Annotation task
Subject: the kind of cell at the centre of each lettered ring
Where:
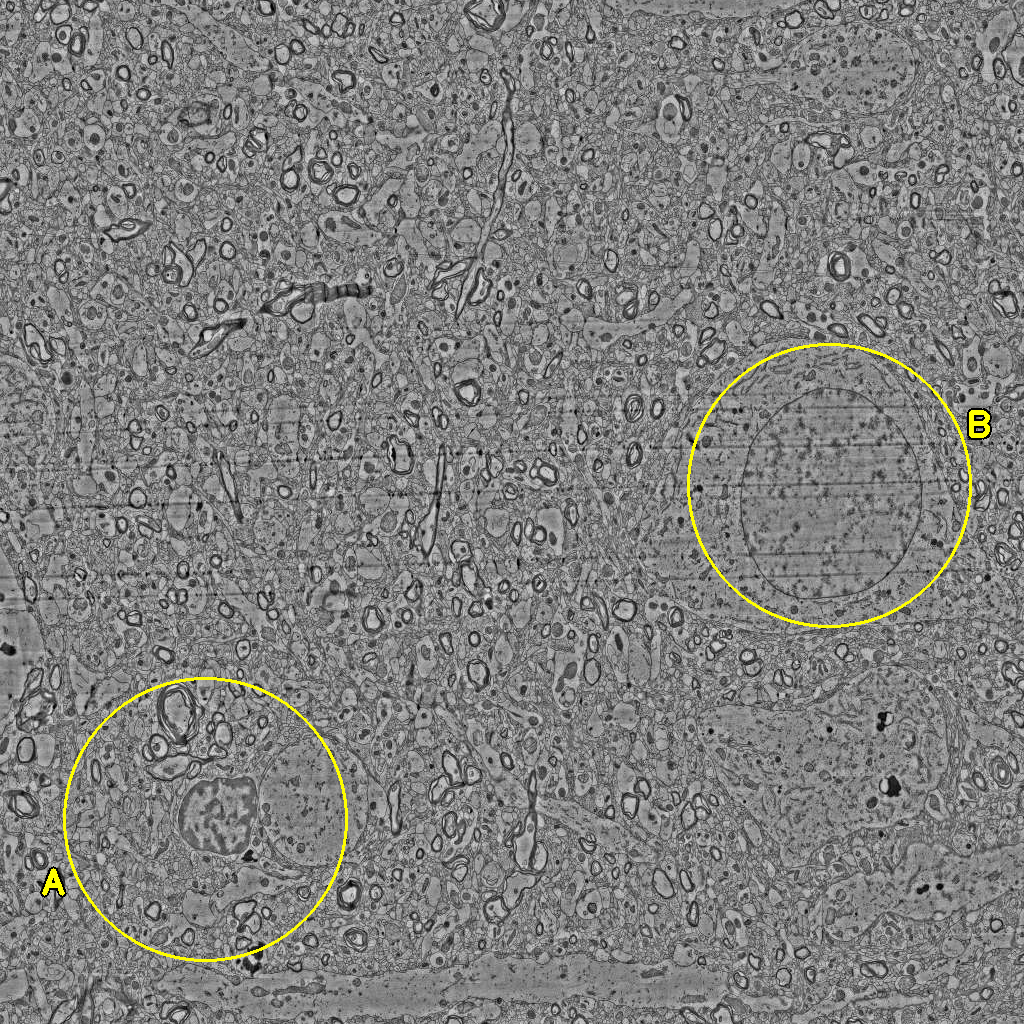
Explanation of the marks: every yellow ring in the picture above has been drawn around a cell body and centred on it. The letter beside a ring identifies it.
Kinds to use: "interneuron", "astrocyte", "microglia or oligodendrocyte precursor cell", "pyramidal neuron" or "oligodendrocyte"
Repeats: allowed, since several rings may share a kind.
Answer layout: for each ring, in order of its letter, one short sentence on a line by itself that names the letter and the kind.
The ring lettered A is drawn around a microglial cell or oligodendrocyte precursor cell.
The ring lettered B is drawn around a pyramidal neuron.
